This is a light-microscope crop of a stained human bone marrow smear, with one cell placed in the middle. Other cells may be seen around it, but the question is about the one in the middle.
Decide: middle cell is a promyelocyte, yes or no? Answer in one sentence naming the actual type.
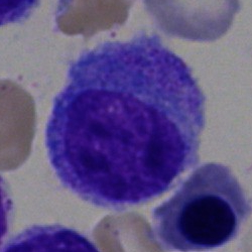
Yes, the cell placed centrally within the crop is a promyelocyte.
